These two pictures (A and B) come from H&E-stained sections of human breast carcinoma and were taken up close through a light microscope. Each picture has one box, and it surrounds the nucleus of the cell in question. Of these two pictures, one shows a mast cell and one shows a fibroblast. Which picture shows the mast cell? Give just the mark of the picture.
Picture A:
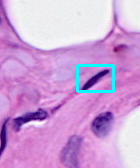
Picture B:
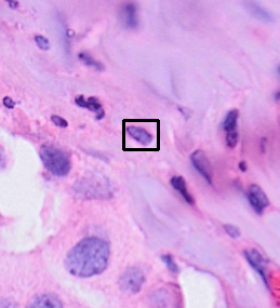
B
